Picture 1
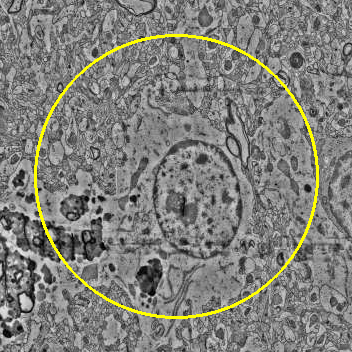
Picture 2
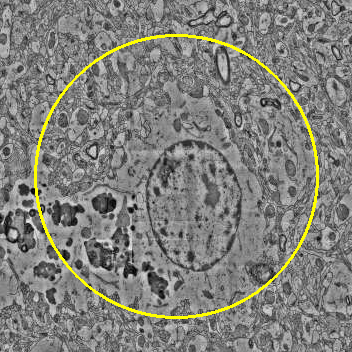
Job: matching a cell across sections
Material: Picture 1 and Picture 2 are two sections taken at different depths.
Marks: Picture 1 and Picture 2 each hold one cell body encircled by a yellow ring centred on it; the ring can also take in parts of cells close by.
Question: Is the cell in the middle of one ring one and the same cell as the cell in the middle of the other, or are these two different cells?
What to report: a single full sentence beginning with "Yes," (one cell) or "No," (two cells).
Yes, both rings are placed on a single cell.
